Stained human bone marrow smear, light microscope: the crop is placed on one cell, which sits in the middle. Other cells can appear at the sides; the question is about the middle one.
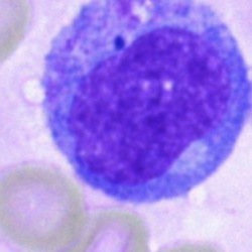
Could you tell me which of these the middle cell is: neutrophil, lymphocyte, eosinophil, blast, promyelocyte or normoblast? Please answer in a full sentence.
By classification, the middle cell of this crop is a promyelocyte.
